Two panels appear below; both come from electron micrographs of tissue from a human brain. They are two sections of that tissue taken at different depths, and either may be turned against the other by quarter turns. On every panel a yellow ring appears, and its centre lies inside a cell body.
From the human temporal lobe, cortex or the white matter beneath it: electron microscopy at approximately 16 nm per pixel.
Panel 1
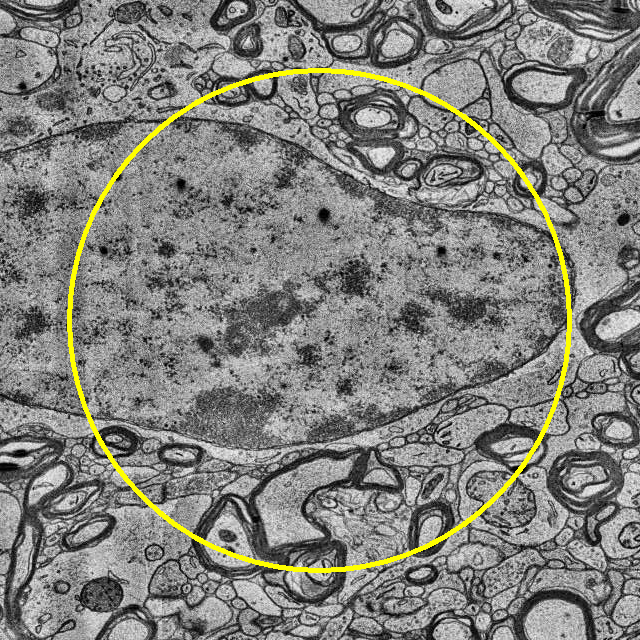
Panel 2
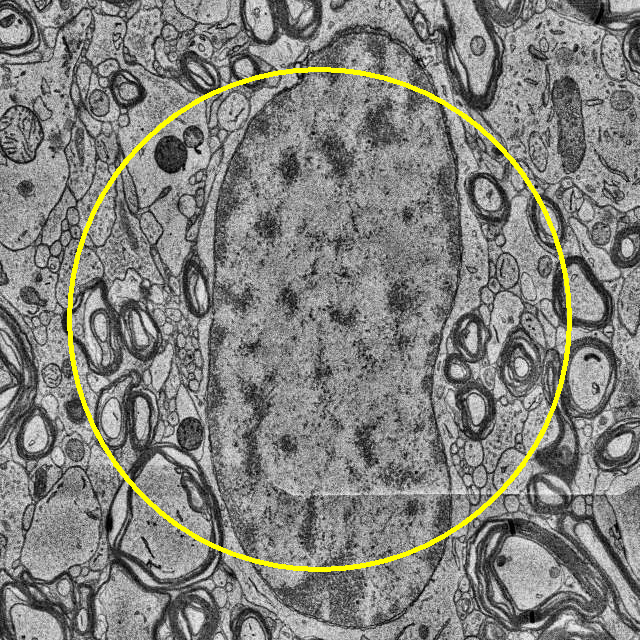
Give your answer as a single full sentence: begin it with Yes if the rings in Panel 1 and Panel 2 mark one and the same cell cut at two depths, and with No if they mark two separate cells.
Yes, both yellow rings were placed on the same cell.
